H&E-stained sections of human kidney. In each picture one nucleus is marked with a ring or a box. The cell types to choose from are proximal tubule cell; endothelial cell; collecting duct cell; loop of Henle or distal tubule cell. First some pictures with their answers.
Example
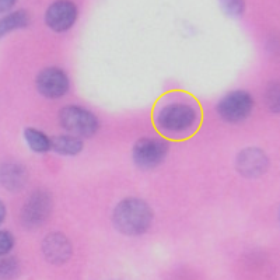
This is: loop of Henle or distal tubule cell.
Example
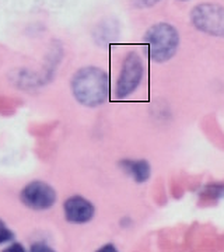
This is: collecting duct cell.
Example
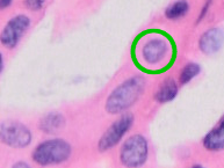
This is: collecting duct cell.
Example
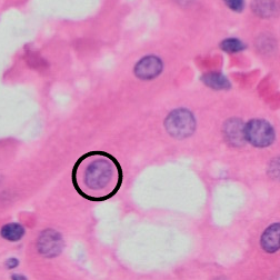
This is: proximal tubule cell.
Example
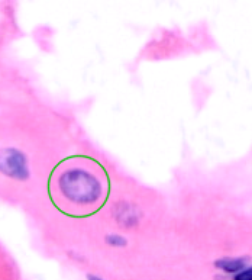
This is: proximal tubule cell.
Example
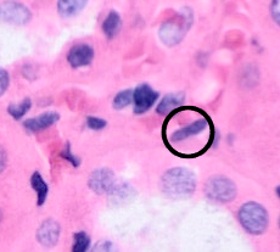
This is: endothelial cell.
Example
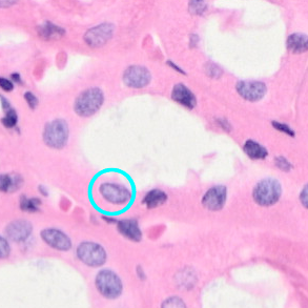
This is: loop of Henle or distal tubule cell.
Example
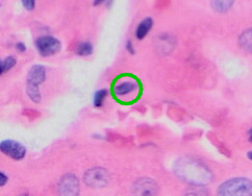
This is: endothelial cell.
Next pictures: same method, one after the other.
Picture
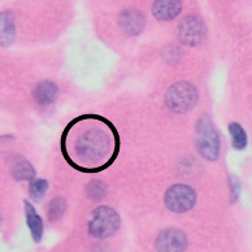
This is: proximal tubule cell.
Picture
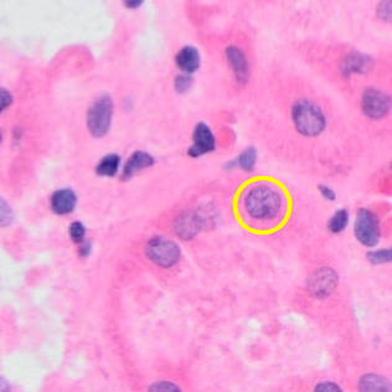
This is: proximal tubule cell.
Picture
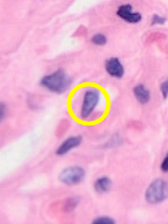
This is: endothelial cell.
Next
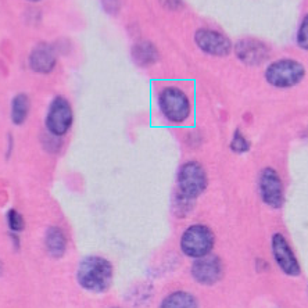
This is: loop of Henle or distal tubule cell.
